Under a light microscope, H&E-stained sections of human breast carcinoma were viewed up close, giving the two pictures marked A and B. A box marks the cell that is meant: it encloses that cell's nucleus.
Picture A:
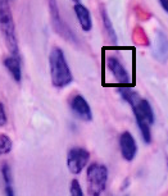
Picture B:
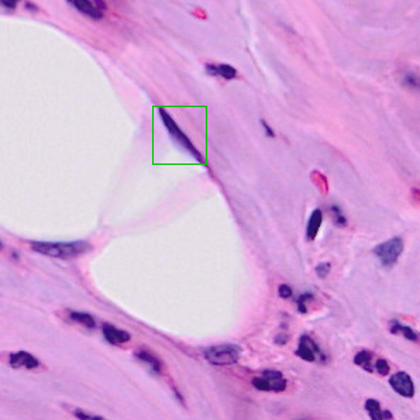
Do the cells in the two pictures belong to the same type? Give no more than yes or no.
no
